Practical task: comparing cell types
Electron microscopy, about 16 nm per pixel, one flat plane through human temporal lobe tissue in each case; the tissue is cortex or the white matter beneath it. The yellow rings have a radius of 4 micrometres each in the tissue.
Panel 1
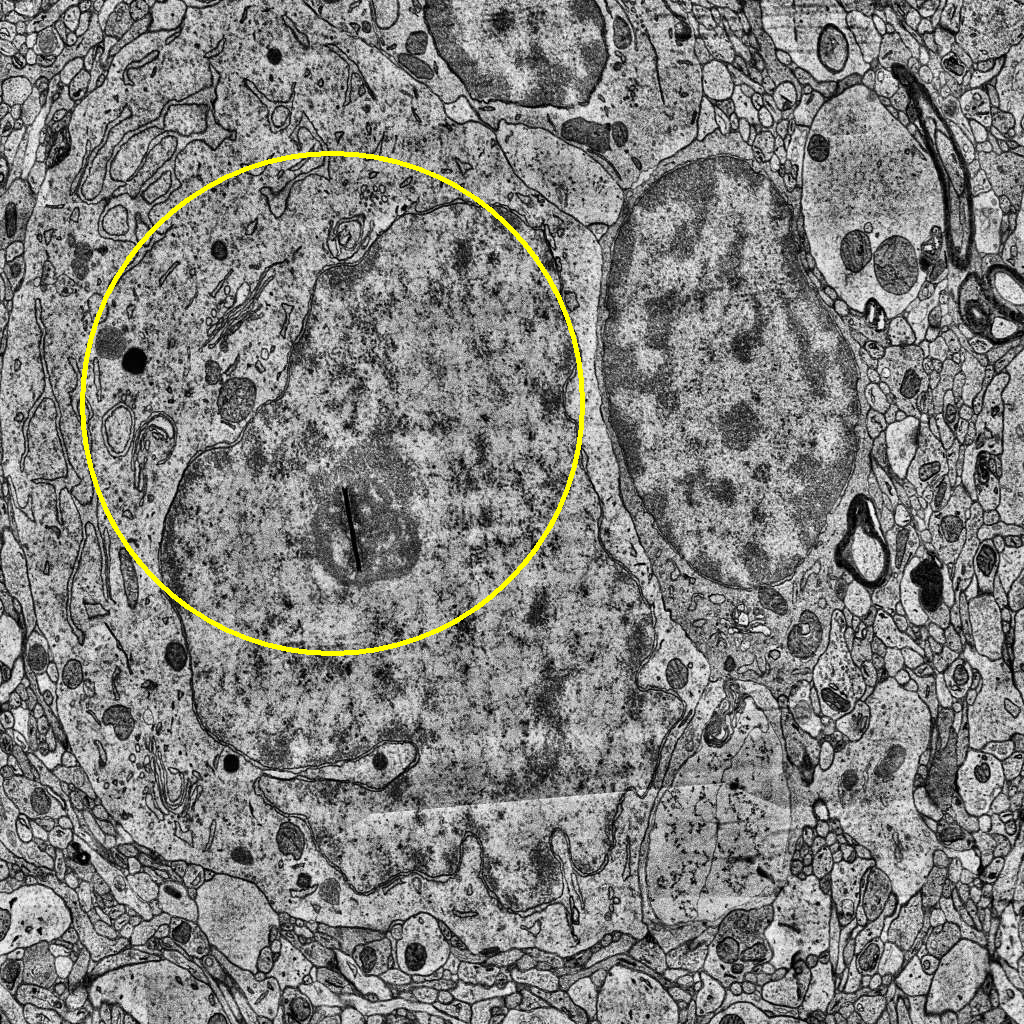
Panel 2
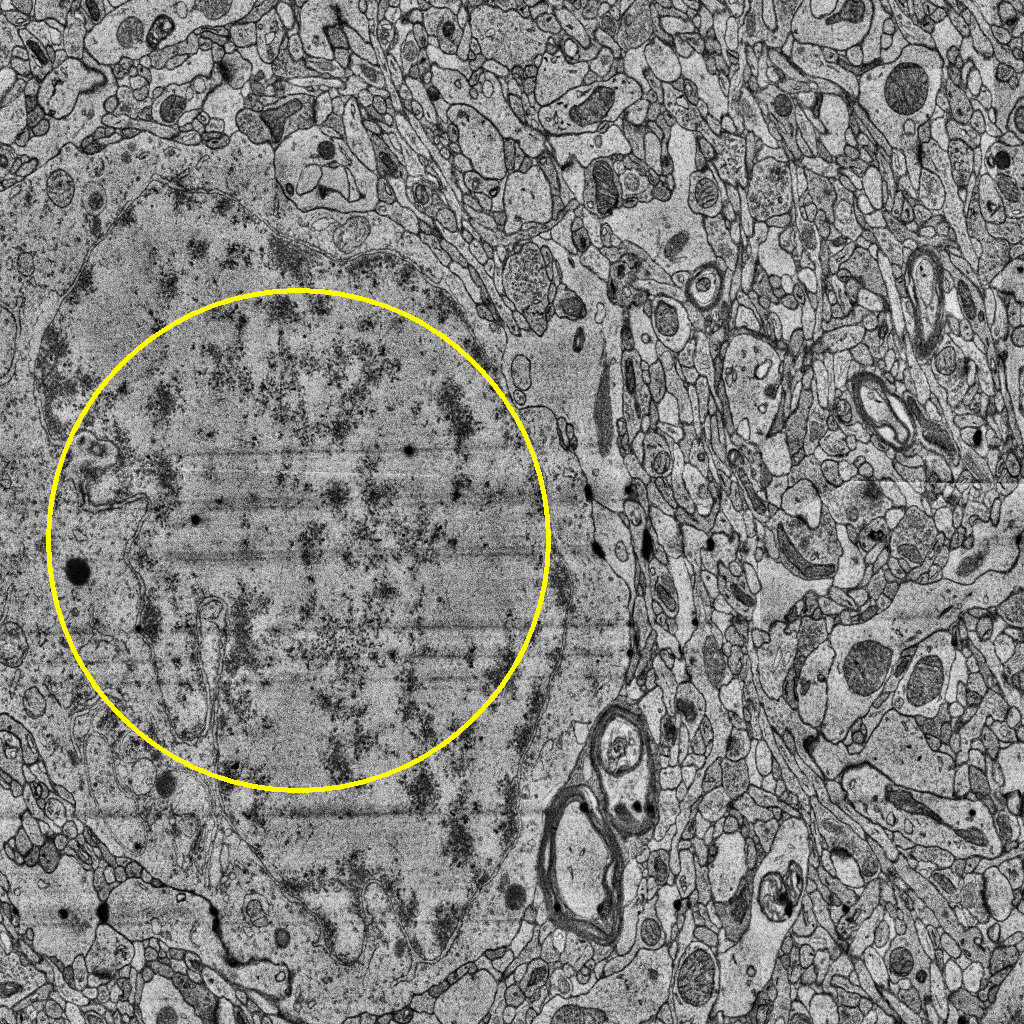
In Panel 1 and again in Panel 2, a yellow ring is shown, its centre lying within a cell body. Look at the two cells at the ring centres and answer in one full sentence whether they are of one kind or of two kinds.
The two cells sitting at the ring centres of Panels 1 and 2 are of one kind.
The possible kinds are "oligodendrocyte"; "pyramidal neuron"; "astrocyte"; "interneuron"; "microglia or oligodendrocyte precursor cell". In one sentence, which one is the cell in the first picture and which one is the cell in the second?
The second cell is an interneuron, just as the first is.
